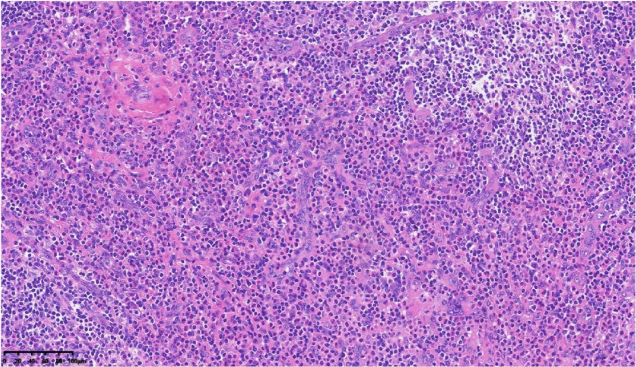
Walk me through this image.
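This is the interfollicular area of a lymph node, crowded with small lymphocytes with round dark nuclei, among which many small vessels with plump lining cells run in branching profiles. At upper left a vessel with a thick, pink, hyalinized wall stands out. Between the lymphocytes there are cells with pink cytoplasm, and toward the upper right the tissue is looser with pale spaces. The vessels are numerous and prominent, giving the area a busy, vascular look.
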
